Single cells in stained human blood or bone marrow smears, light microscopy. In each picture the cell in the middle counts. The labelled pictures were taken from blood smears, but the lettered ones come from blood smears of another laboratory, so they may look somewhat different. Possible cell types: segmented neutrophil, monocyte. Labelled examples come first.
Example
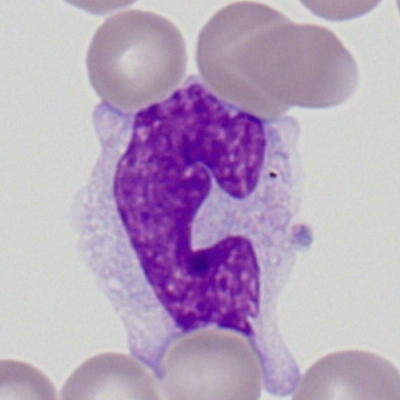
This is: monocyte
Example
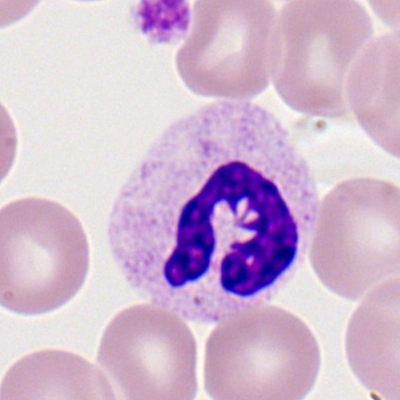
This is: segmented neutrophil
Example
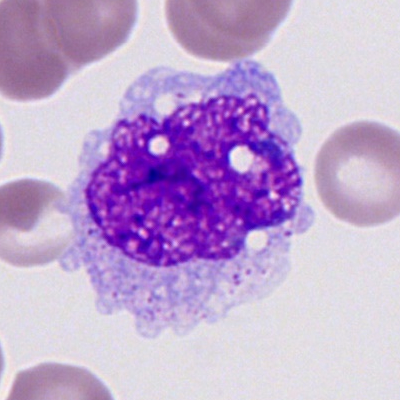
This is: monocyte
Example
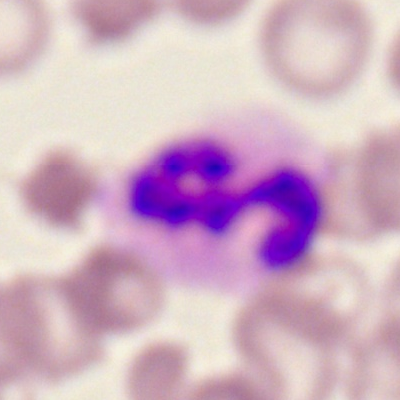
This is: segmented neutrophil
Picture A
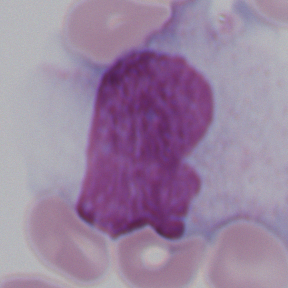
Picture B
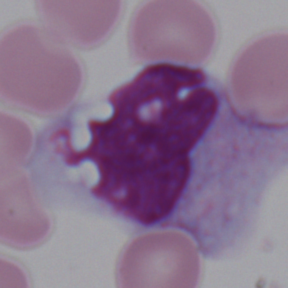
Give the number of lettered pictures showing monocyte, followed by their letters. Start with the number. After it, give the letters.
2: A, B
